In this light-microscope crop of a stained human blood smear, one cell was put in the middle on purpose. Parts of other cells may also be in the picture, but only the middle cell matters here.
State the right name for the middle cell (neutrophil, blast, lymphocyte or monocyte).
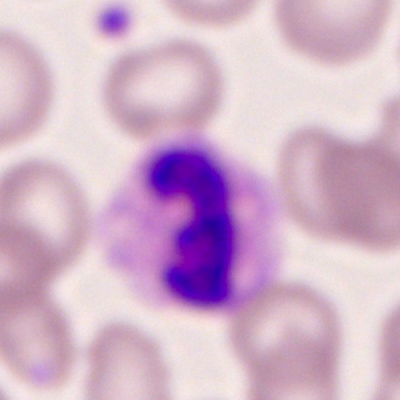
neutrophil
